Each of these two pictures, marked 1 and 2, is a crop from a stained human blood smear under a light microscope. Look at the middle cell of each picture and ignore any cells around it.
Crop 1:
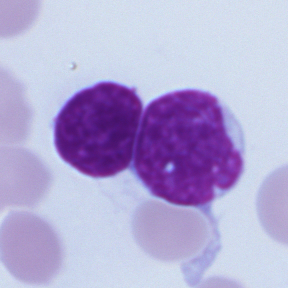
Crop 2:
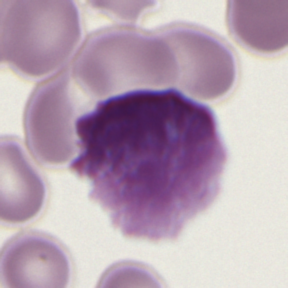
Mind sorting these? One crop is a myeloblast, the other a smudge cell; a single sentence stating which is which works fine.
Crop 1 is a myeloblast, while a smudge cell is the cell in crop 2.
